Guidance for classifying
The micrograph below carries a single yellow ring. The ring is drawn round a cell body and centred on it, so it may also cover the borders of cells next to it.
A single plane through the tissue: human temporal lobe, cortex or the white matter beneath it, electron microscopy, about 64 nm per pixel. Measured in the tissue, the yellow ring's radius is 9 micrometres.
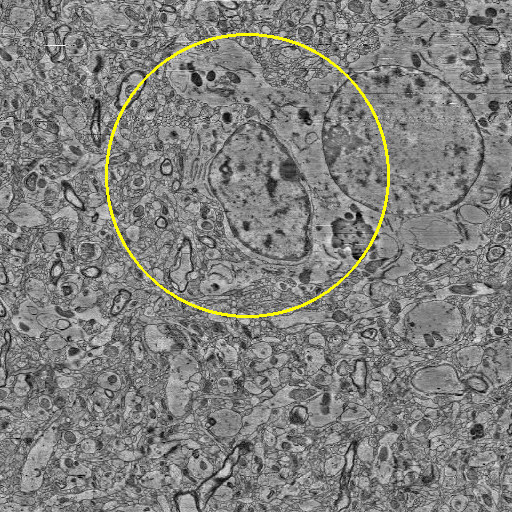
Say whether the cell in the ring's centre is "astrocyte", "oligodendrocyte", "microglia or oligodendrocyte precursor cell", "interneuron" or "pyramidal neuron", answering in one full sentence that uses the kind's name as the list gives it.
Within the yellow ring, a microglial cell or oligodendrocyte precursor cell is the cell whose body sits at the centre.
